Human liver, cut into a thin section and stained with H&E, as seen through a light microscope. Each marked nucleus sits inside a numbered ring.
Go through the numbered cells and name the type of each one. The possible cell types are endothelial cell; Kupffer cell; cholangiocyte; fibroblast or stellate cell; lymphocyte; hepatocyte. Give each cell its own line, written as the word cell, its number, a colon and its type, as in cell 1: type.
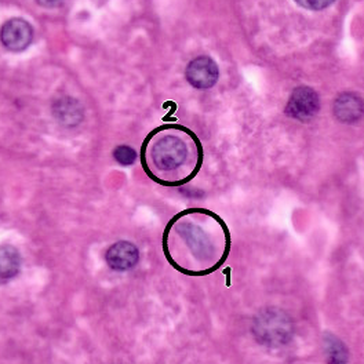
cell 1: Kupffer cell
cell 2: hepatocyte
